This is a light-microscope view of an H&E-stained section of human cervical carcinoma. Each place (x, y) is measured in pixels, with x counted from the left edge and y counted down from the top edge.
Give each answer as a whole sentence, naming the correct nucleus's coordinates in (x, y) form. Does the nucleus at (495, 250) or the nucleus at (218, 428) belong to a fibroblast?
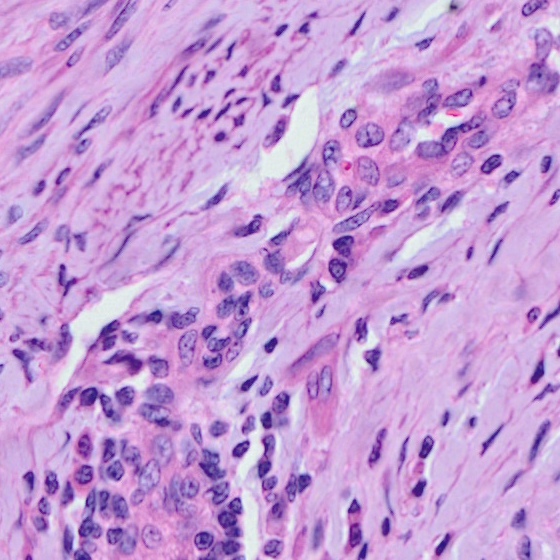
Answering which nucleus it is: the one at (495, 250), belonging to a fibroblast.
